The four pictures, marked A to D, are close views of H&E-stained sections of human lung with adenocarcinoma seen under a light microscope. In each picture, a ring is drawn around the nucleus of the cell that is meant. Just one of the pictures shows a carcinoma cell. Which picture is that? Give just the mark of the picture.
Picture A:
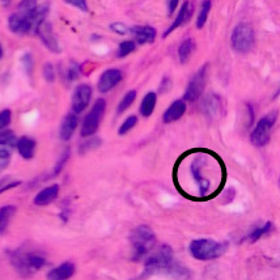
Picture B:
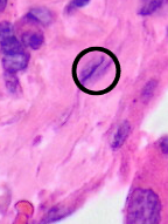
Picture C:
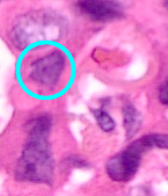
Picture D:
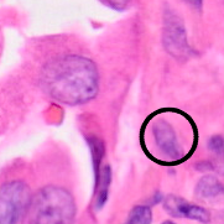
C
